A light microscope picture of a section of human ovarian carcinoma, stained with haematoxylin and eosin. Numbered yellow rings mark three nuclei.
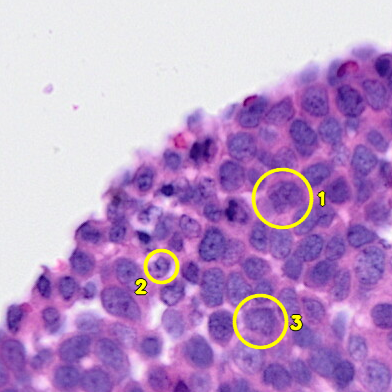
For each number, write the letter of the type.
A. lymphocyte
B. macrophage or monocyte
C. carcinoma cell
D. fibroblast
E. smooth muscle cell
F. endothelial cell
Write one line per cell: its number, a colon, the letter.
1: C
2: B
3: C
